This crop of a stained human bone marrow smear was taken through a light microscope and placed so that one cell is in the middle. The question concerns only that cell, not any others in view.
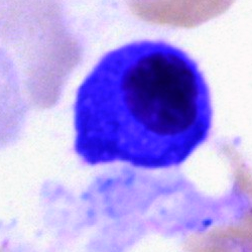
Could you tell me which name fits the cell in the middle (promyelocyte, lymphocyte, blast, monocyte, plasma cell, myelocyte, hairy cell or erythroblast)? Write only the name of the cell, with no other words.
plasma cell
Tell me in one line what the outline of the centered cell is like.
Instead of a smooth edge, this cell has an irregular one, ragged or with projections.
